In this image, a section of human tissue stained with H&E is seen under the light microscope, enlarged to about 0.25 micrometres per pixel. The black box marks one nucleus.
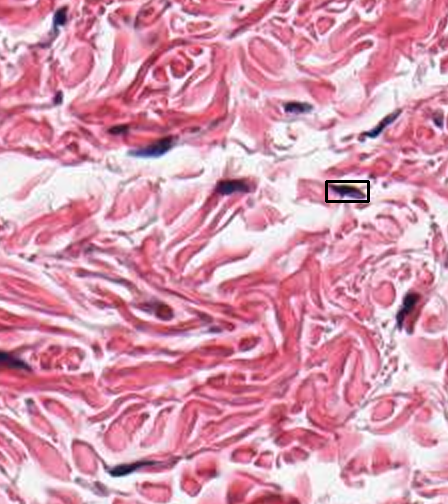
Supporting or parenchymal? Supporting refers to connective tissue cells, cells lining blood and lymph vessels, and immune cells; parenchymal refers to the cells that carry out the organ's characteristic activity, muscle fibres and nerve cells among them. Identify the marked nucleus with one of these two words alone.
supporting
